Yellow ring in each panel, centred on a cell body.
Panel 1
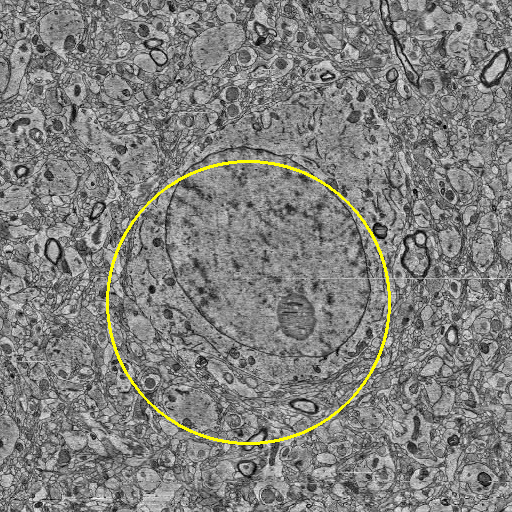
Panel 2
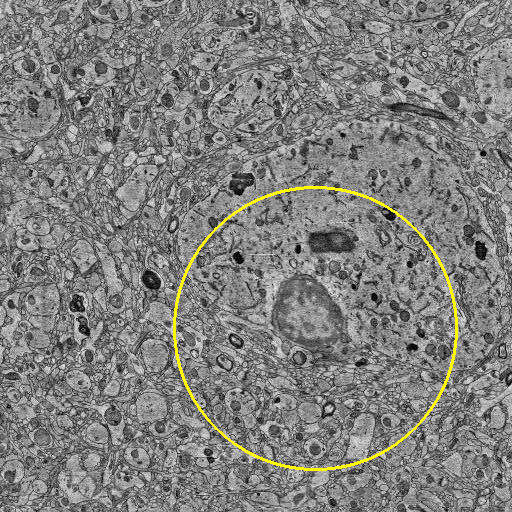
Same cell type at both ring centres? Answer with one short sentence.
No, the two cells are of two types.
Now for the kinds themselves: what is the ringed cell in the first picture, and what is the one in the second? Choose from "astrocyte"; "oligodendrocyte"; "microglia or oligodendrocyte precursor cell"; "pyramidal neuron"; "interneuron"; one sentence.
Here the first cell is a pyramidal neuron and the second cell is an oligodendrocyte.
